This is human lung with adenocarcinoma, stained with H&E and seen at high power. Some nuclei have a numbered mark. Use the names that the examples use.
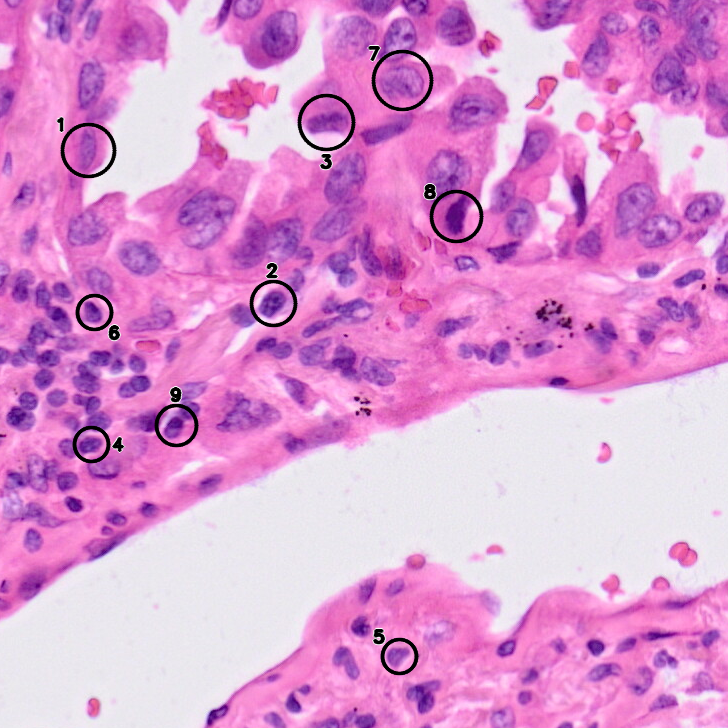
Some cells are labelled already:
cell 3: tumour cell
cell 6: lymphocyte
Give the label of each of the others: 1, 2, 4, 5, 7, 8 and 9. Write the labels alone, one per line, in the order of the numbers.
tumour cell
lymphocyte
lymphocyte
lymphocyte
tumour cell
tumour cell
lymphocyte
